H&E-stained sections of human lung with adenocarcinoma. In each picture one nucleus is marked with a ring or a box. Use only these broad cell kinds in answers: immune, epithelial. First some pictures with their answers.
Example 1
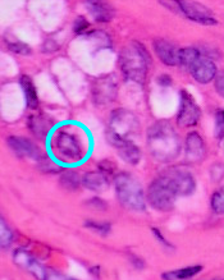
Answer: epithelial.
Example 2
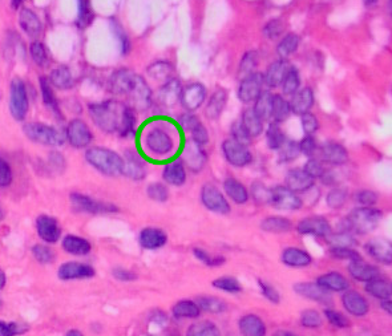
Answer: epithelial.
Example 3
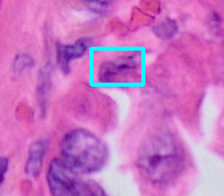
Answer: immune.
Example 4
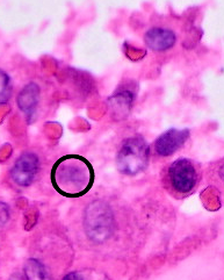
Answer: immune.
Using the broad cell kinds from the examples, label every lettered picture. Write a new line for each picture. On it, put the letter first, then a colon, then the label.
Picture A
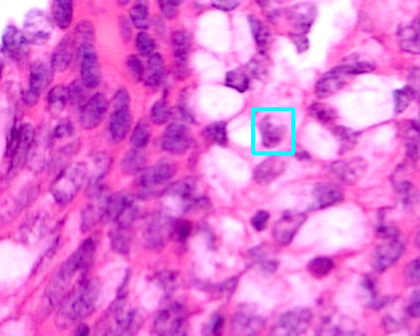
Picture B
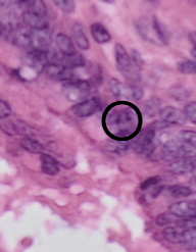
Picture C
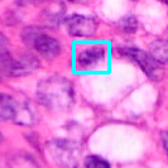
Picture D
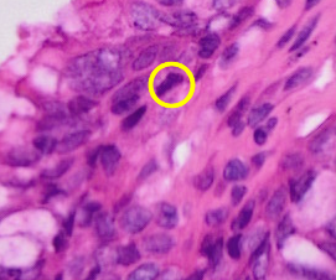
A: epithelial.
B: epithelial.
C: epithelial.
D: epithelial.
